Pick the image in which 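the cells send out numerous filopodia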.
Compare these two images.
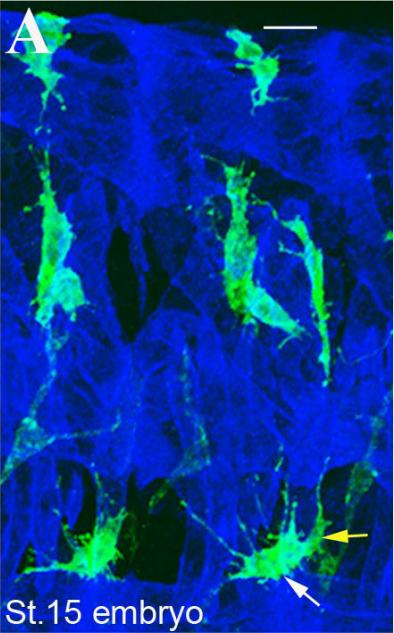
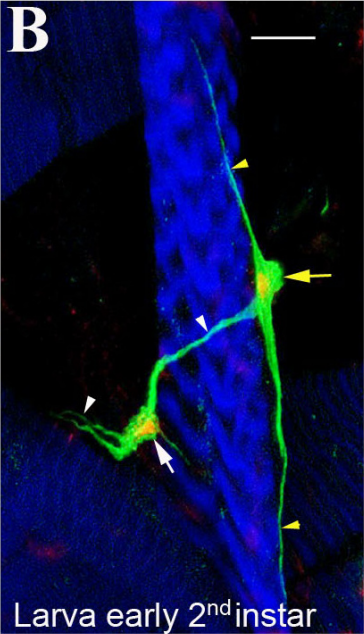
The first image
